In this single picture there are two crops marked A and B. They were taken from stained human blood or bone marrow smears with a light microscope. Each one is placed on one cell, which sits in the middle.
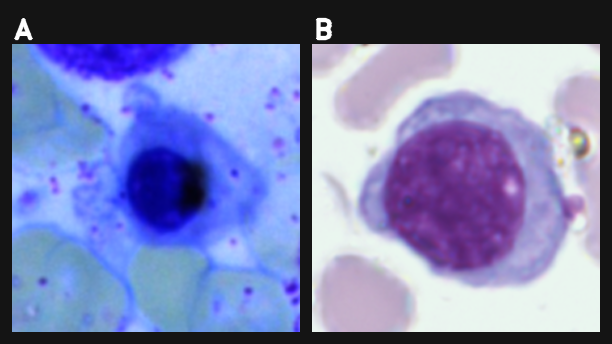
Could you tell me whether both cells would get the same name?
no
